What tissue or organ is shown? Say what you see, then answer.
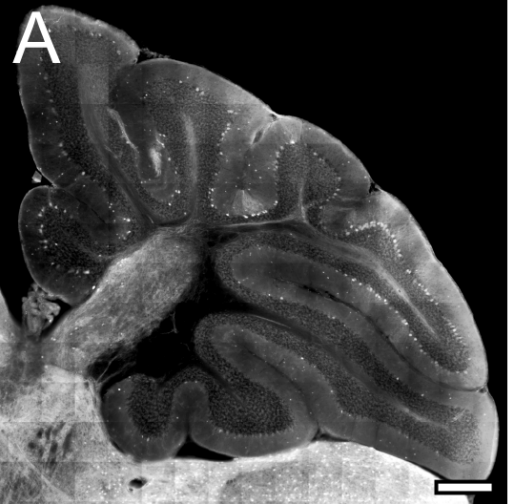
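The section is folded into many deep, narrow folds. A line of small bright dots runs along the cortex in each fold. The answer: cerebellum.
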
